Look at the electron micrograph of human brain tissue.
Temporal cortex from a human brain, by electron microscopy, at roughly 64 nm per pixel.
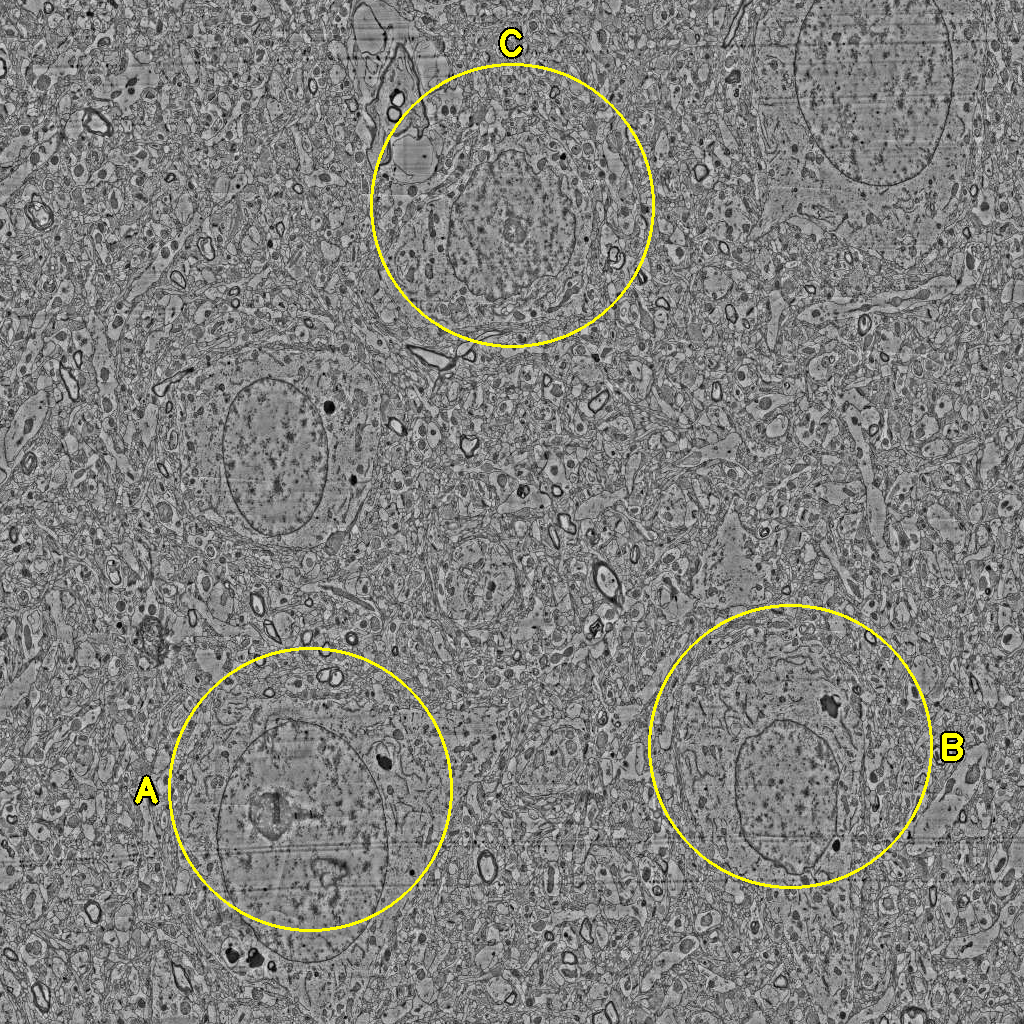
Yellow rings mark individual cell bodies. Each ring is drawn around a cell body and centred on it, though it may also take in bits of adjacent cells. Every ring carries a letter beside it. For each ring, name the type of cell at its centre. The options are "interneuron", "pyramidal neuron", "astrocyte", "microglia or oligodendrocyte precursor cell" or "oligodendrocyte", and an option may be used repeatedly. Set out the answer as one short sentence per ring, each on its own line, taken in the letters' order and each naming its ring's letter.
Ring A is drawn around a pyramidal neuron.
Ring B is drawn around a pyramidal neuron.
Ring C is drawn around an interneuron.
